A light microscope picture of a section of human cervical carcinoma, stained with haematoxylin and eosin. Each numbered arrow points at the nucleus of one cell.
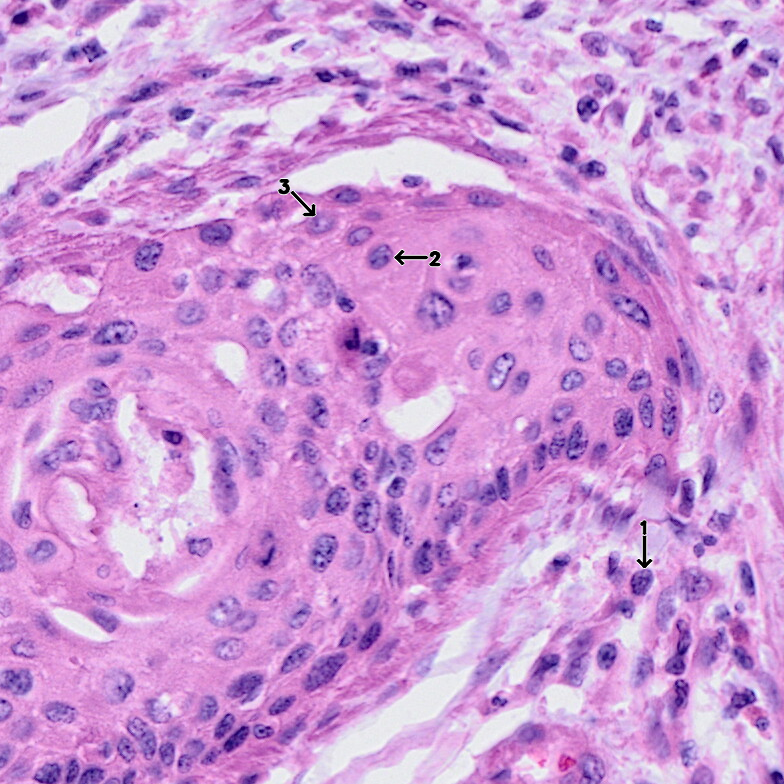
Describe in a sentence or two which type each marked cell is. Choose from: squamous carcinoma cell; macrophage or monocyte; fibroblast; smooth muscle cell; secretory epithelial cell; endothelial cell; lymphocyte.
Cell 1 is a lymphocyte. Cells 2 and 3 are squamous carcinoma cells.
